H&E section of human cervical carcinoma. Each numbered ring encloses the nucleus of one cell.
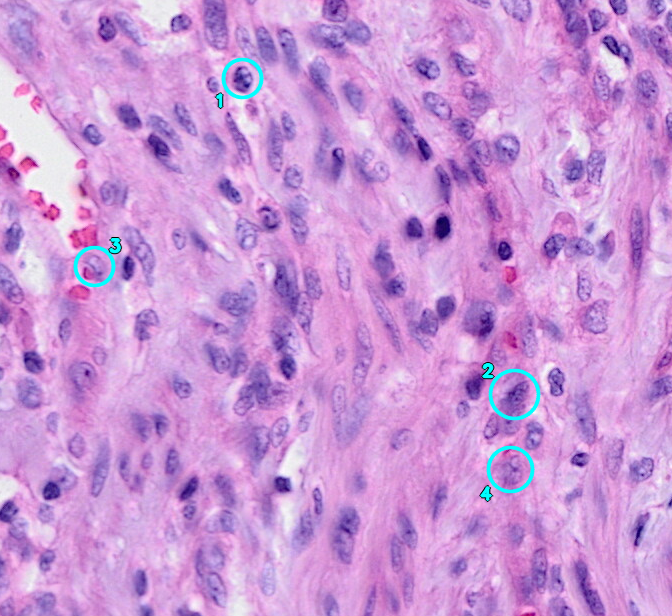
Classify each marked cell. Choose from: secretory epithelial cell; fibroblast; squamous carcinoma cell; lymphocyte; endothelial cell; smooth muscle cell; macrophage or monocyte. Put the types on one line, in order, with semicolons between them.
lymphocyte; endothelial cell; endothelial cell; endothelial cell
